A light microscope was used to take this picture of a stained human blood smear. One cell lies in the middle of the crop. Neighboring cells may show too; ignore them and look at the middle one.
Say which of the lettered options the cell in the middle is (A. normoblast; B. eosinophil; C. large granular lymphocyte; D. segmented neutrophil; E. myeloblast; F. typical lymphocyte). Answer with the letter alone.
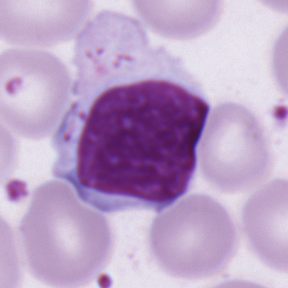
C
